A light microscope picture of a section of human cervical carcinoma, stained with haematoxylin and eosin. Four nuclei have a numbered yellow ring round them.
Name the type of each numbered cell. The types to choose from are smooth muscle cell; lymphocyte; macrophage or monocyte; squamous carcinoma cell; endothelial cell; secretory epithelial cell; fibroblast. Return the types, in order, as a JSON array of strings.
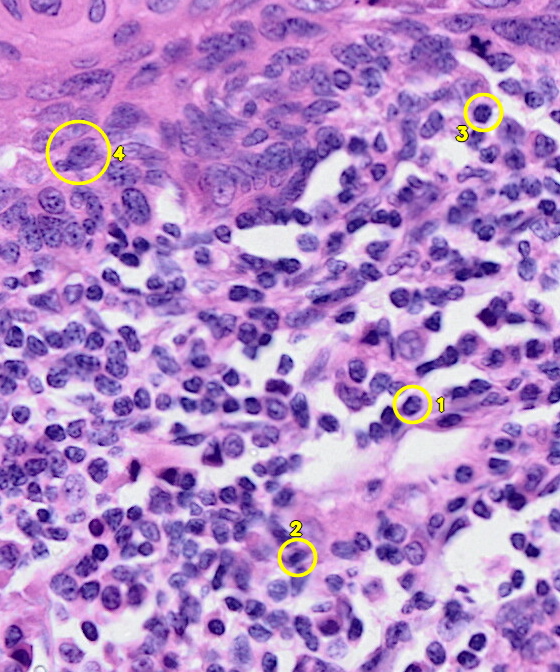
["lymphocyte", "lymphocyte", "lymphocyte", "squamous carcinoma cell"]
